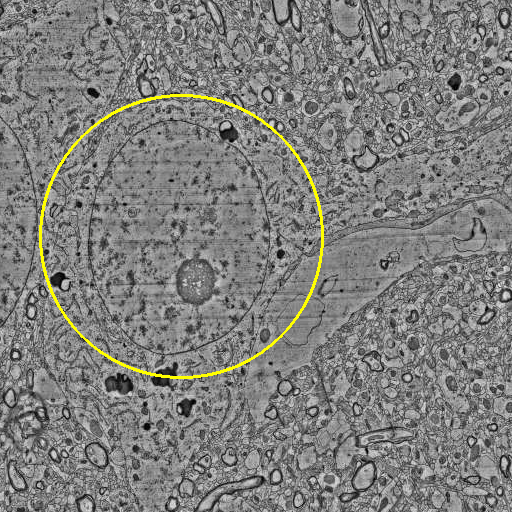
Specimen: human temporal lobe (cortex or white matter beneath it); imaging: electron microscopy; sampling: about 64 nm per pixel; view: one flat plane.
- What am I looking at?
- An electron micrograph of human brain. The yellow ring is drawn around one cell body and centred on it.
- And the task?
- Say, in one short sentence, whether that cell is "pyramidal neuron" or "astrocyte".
The cell in the middle of the ring is a pyramidal neuron.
